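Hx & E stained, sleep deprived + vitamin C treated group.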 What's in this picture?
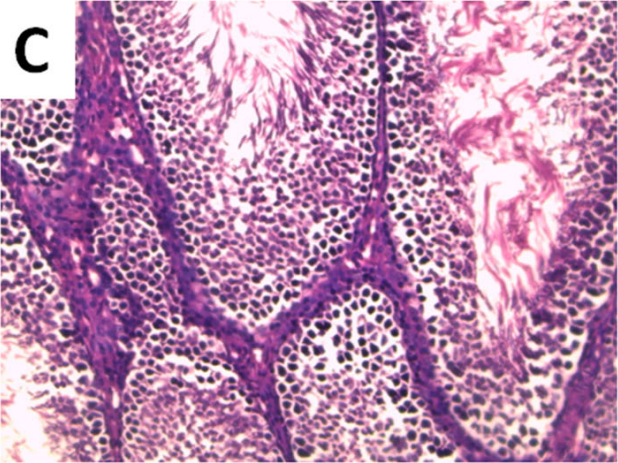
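Here we see seminiferous tubules of the testis lined by many layers of germ cells, spermatogonia and spermatocytes toward the wall, with spermatids toward the centre. The tubules are packed closely, their outlines rounded to angular, separated by thin bands of interstitial tissue with small spindle-shaped nuclei and a few small vessels. The germ cell nuclei are round and deeply purple, crowded in a thick epithelium. Toward the middle of each tubule, the cells give way to slender elongated forms and bundles of pale pink threadlike tails that fill the lumen.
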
